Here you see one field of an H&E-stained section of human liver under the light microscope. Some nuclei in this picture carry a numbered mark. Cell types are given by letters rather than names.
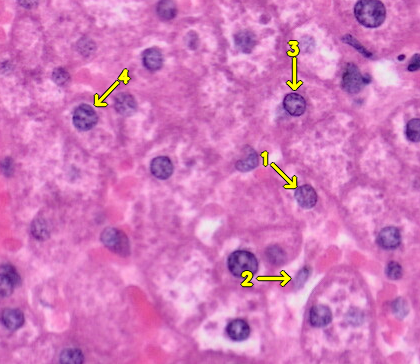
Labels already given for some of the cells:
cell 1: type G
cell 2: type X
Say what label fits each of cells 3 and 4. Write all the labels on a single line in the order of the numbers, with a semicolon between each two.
type G; type G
